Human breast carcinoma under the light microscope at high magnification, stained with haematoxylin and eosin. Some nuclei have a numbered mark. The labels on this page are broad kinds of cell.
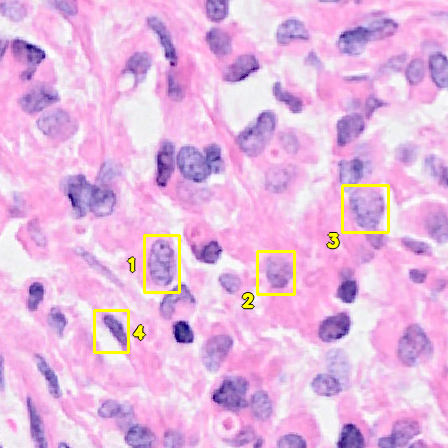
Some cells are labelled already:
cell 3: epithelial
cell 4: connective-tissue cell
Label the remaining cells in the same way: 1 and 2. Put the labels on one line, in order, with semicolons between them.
epithelial; connective-tissue cell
